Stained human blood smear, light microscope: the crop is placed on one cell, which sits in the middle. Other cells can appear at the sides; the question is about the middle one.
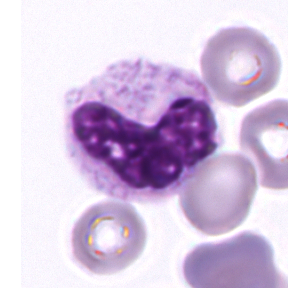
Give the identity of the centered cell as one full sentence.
Within this crop, a band neutrophil occupies the central position.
